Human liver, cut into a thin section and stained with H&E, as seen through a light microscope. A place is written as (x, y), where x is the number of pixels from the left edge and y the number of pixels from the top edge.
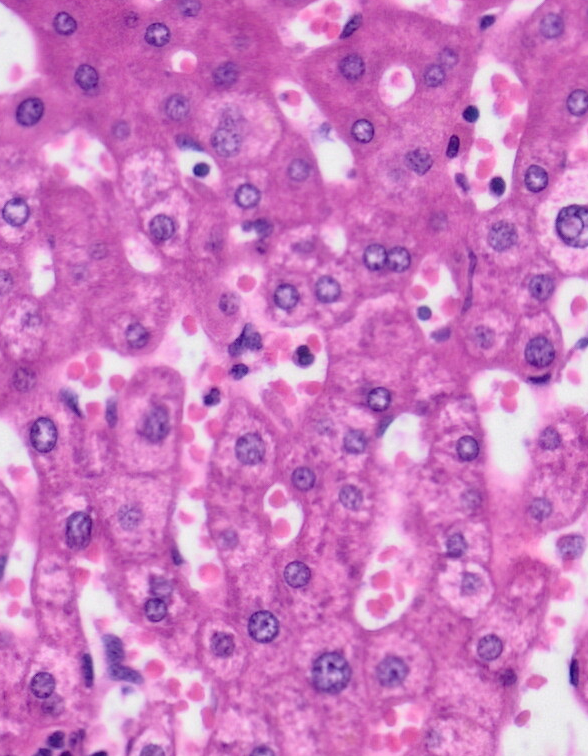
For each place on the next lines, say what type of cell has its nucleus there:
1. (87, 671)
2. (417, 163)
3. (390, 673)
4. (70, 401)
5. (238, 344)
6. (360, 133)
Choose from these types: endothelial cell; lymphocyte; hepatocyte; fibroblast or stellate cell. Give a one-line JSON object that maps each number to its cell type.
{"1": "fibroblast or stellate cell", "2": "hepatocyte", "3": "hepatocyte", "4": "endothelial cell", "5": "fibroblast or stellate cell", "6": "hepatocyte"}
